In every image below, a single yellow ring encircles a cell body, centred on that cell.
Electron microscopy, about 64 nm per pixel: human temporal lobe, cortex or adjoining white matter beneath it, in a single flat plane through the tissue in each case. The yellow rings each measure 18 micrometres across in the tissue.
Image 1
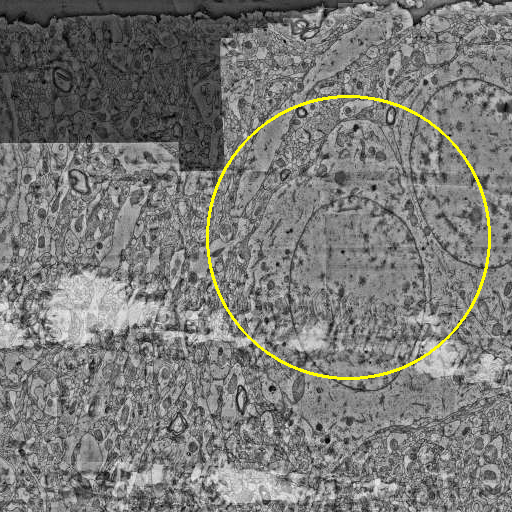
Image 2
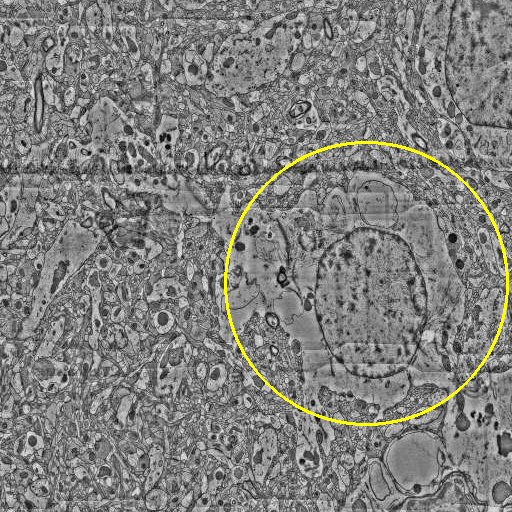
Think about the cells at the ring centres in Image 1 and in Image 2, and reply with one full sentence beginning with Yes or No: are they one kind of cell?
No, the cells centred in the rings of Image 1 and Image 2 are two kinds of cell.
